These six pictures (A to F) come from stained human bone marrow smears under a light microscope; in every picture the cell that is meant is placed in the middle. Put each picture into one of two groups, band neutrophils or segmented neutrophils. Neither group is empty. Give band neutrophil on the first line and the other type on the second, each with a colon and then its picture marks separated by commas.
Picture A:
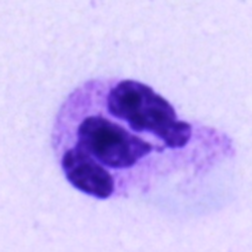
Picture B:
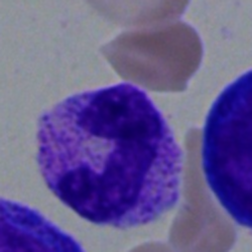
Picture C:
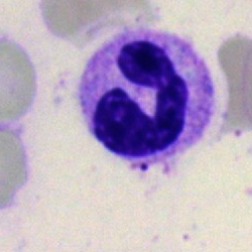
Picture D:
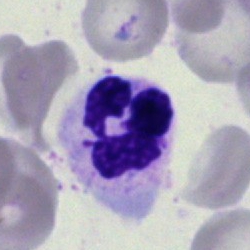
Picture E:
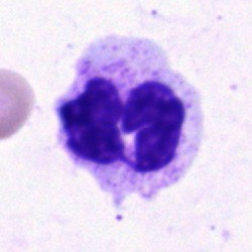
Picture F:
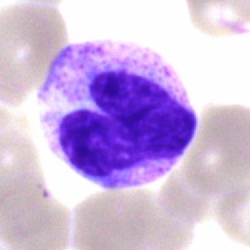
band neutrophil: B, F
segmented neutrophil: A, C, D, E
